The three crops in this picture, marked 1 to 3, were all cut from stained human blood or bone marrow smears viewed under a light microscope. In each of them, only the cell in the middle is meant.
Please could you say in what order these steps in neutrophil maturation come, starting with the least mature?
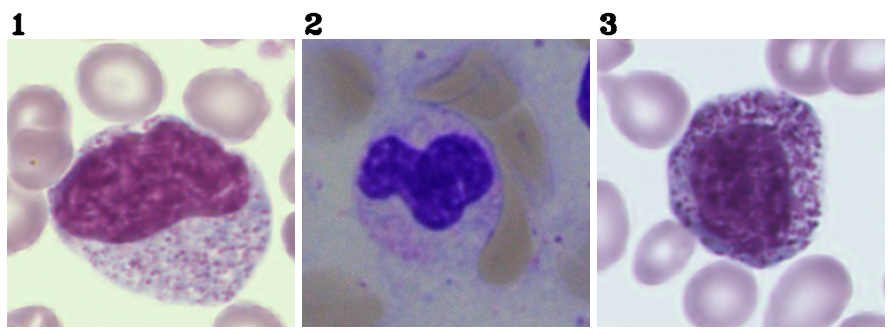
3, 1, 2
